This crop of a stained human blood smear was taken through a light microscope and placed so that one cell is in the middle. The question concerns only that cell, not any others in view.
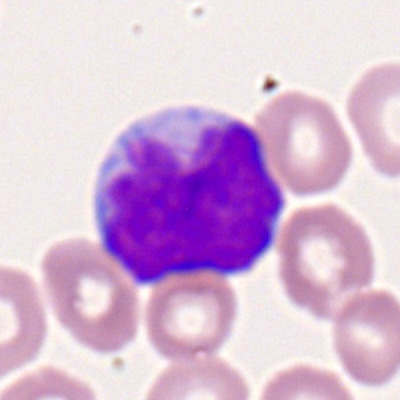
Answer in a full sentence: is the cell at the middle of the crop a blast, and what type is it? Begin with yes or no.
Yes, the central cell is to be recorded as a blast.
